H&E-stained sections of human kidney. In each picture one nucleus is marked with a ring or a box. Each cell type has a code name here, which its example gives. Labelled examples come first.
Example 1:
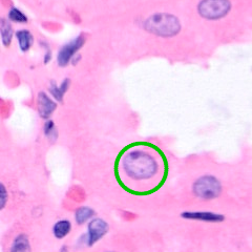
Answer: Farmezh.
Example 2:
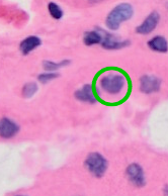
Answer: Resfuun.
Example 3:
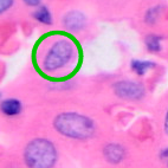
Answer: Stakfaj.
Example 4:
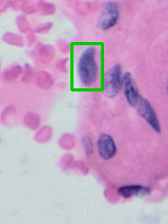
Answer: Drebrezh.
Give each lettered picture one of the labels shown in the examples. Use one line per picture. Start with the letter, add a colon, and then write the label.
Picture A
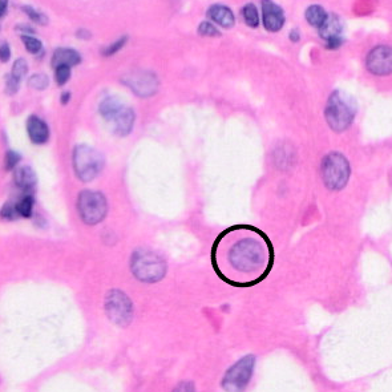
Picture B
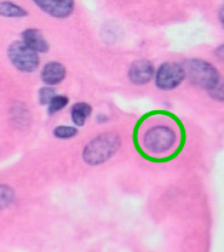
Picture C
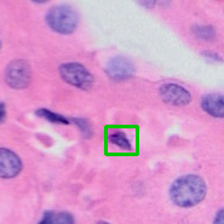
A: Farmezh.
B: Farmezh.
C: Drebrezh.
